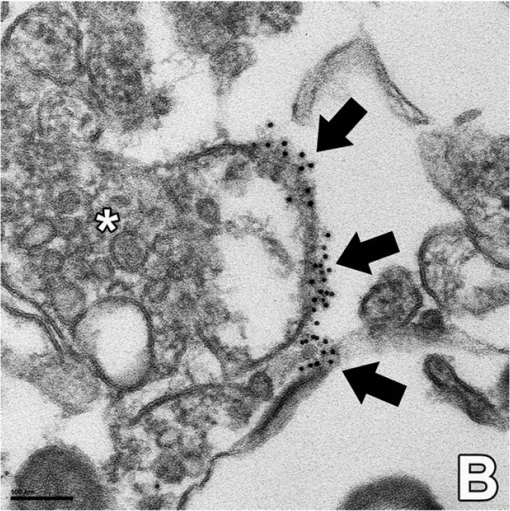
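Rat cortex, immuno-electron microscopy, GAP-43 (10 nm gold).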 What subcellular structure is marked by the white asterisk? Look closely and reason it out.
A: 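Many small round membrane-bound vesicles are clustered in the profile. That points to this answer: spherical vesicles.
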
